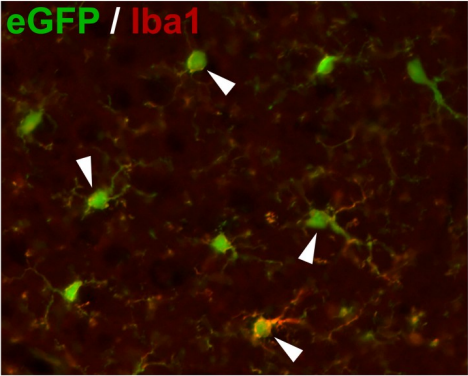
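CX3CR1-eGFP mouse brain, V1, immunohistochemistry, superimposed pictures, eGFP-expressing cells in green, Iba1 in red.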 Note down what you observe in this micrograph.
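This is a field of cortical tissue with scattered microglial cells that are evenly spaced on a dark background. Each cell has a small, bright, oval or irregular cell body from which several thin, branching processes radiate in different directions, giving a ramified appearance. Green fills the cell bodies and processes. One cell toward the lower part of the field shows stronger red along its body and processes.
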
